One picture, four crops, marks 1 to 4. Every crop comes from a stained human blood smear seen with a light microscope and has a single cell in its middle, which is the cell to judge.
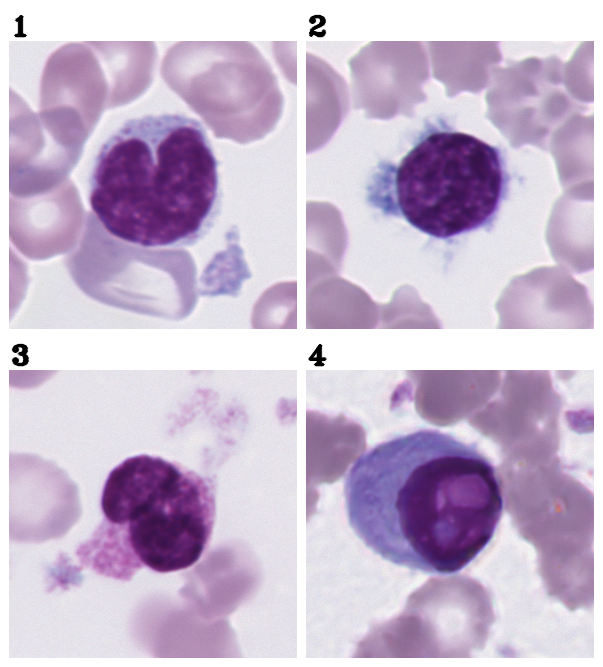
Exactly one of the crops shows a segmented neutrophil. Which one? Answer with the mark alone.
3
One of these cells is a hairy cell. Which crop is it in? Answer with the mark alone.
2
